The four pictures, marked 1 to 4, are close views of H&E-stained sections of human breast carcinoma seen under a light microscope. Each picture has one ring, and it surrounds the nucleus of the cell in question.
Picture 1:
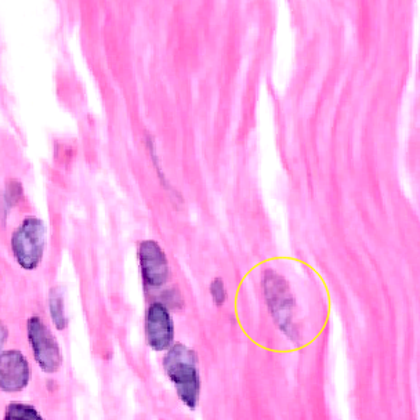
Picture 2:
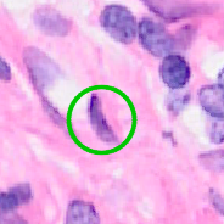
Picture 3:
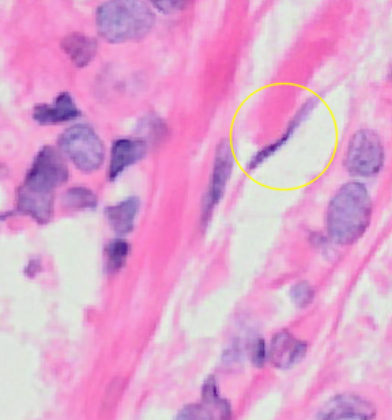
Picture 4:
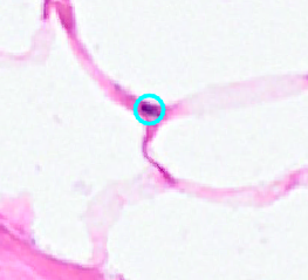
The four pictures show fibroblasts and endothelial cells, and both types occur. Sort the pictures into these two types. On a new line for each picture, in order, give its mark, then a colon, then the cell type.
1: fibroblast
2: endothelial cell
3: fibroblast
4: endothelial cell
